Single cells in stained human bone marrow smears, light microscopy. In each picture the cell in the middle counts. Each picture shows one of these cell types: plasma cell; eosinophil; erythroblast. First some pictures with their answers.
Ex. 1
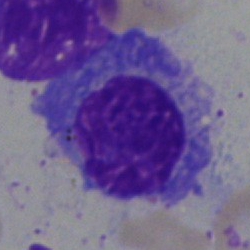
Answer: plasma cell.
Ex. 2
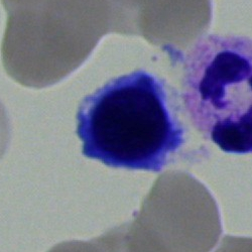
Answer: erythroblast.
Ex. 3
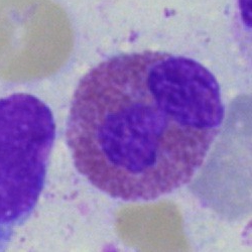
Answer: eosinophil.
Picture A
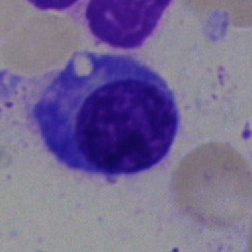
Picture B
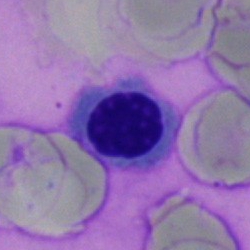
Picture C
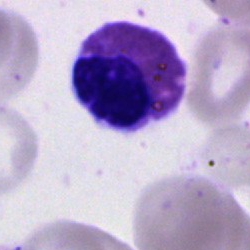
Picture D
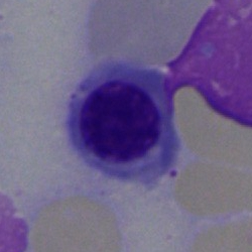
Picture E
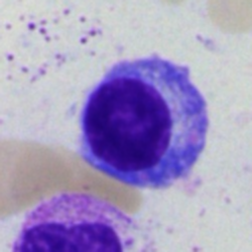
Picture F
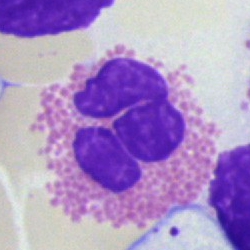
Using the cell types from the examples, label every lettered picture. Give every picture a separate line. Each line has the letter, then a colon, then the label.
A: plasma cell.
B: erythroblast.
C: eosinophil.
D: erythroblast.
E: plasma cell.
F: eosinophil.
